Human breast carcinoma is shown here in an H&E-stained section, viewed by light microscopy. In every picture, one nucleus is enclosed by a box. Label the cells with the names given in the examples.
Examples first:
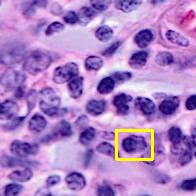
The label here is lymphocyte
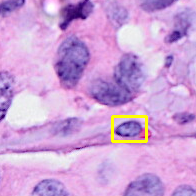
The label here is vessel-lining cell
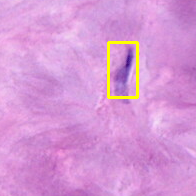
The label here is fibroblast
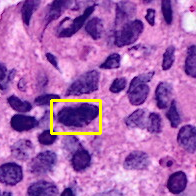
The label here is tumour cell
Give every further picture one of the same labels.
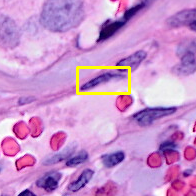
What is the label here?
vessel-lining cell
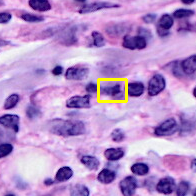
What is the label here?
lymphocyte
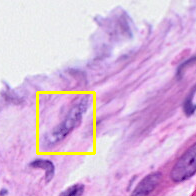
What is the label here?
fibroblast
